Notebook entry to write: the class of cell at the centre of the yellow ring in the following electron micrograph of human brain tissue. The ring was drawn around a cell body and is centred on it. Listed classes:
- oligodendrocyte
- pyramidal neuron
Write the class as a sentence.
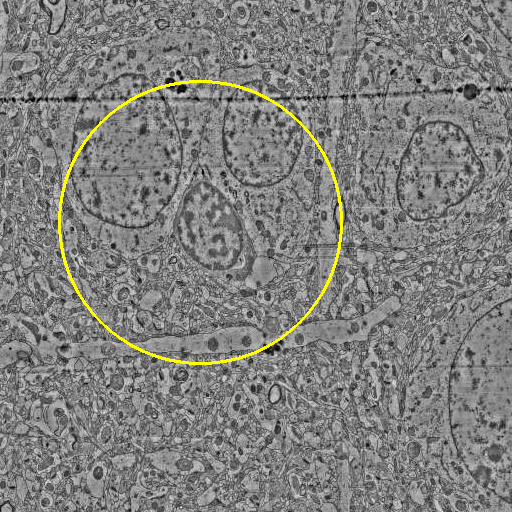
The yellow ring sits on an oligodendrocyte.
